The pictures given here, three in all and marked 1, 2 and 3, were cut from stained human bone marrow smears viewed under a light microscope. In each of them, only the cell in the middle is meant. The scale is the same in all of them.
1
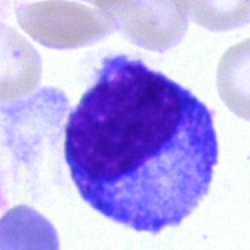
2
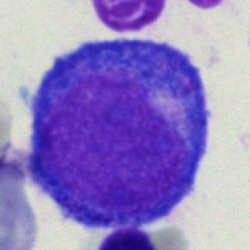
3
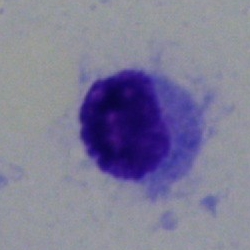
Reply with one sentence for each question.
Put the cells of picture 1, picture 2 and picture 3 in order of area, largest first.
Going down, they run 2, 1, 3.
